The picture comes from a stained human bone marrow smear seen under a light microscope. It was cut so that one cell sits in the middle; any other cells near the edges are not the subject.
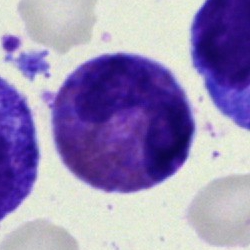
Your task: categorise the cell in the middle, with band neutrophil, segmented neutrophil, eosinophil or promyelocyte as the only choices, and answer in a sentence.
The cell that lies at the centre of the crop is an eosinophil.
